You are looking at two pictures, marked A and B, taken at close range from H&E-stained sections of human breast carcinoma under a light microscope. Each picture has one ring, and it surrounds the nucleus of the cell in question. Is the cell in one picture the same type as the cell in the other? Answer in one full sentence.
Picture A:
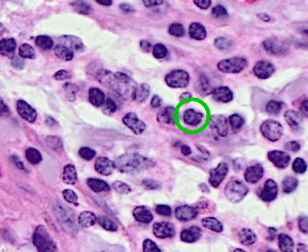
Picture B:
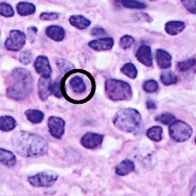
Yes, they are the same type: both are lymphocytes.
